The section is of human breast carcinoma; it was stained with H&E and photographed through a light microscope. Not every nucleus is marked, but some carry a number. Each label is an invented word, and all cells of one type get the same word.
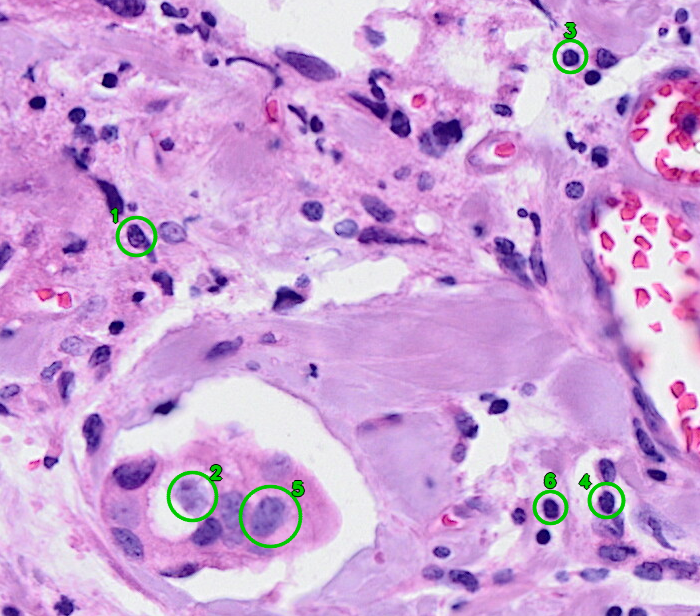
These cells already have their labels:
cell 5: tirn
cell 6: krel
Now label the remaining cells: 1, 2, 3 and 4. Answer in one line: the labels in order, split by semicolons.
krel; tirn; krel; krel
